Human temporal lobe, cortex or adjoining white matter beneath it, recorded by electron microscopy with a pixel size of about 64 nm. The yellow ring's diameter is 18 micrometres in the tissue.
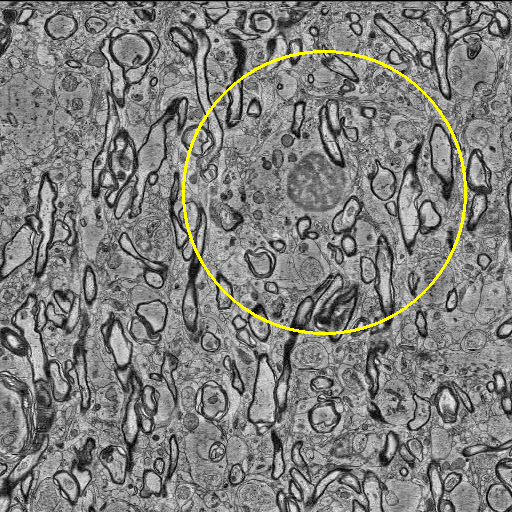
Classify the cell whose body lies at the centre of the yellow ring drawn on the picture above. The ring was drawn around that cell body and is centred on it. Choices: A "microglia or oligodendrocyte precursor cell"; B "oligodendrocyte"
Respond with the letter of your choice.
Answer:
B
